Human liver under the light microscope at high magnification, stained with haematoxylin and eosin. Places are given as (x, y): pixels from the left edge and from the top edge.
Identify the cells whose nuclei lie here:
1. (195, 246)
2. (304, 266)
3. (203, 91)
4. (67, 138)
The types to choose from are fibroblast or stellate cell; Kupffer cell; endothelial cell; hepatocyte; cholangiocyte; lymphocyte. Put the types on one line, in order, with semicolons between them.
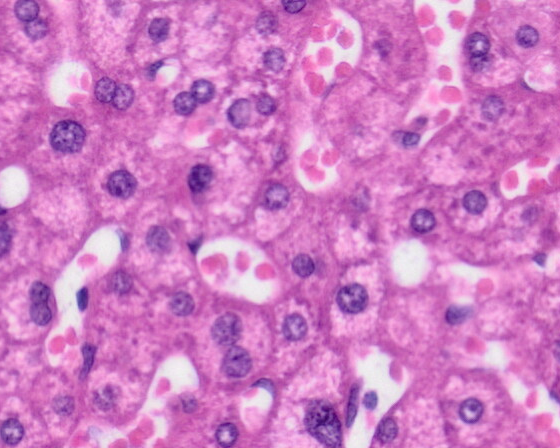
fibroblast or stellate cell; hepatocyte; hepatocyte; hepatocyte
